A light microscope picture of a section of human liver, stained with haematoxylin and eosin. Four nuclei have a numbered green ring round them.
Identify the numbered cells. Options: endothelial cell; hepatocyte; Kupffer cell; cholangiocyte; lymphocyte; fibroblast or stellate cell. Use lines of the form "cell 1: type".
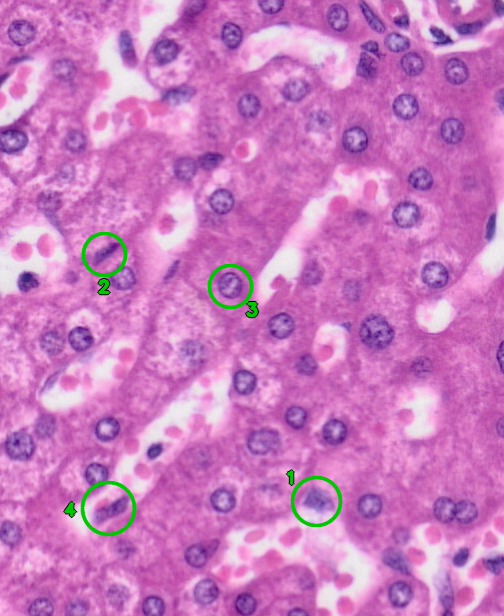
cell 1: endothelial cell
cell 2: fibroblast or stellate cell
cell 3: hepatocyte
cell 4: Kupffer cell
